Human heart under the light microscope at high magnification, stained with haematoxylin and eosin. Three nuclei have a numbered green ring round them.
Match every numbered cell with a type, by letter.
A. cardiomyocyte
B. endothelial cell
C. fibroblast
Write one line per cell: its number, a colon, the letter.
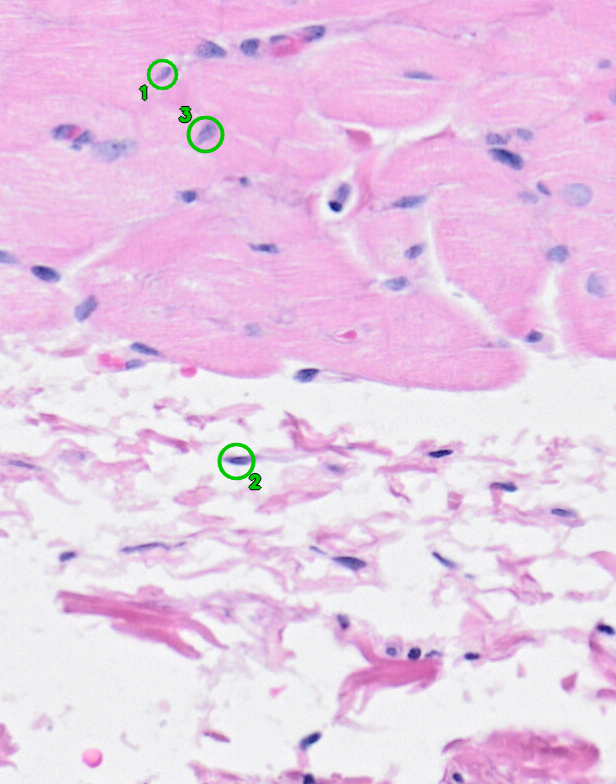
1: B
2: C
3: B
